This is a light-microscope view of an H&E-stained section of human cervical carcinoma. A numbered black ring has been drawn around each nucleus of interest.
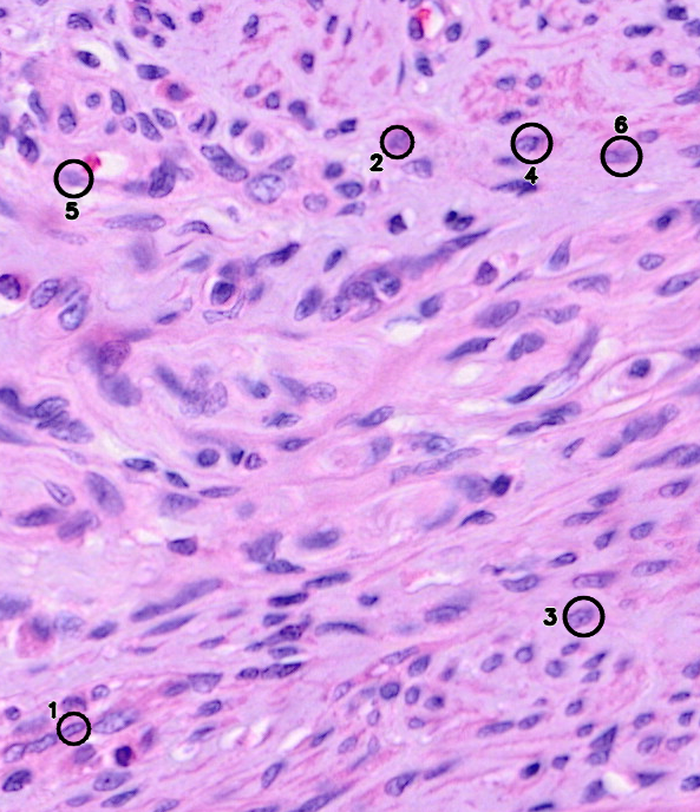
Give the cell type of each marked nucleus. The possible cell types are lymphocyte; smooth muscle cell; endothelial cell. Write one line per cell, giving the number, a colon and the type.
1: endothelial cell
2: smooth muscle cell
3: smooth muscle cell
4: smooth muscle cell
5: endothelial cell
6: smooth muscle cell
